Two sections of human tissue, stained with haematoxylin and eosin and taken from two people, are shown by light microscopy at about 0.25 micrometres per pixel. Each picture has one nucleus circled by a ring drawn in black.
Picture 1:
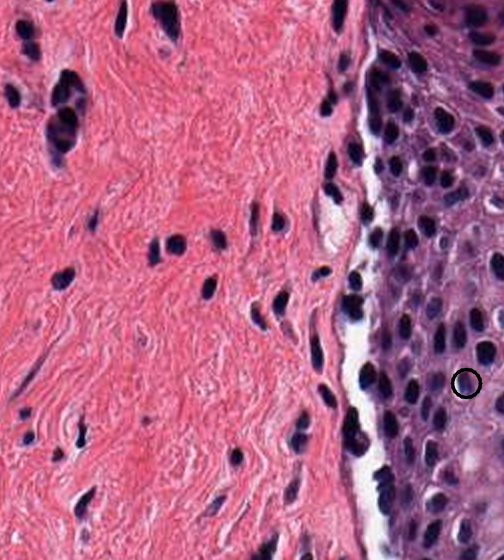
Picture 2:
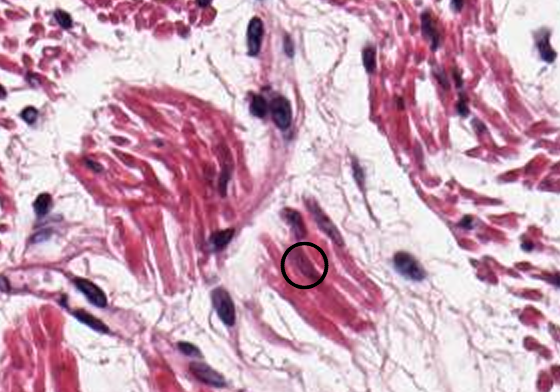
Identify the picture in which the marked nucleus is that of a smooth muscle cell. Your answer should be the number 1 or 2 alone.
2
